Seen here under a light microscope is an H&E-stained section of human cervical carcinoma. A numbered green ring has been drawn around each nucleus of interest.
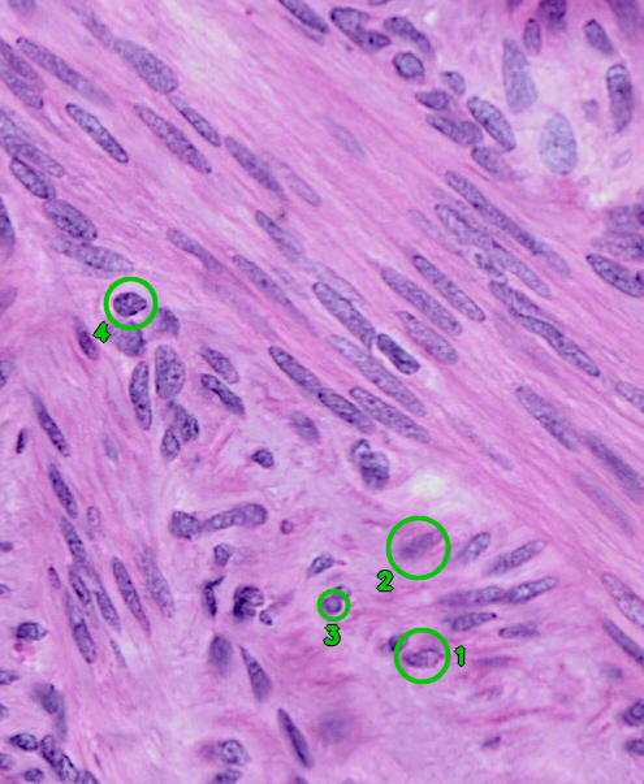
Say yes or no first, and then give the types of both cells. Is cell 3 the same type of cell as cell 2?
Yes, both are smooth muscle cells.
